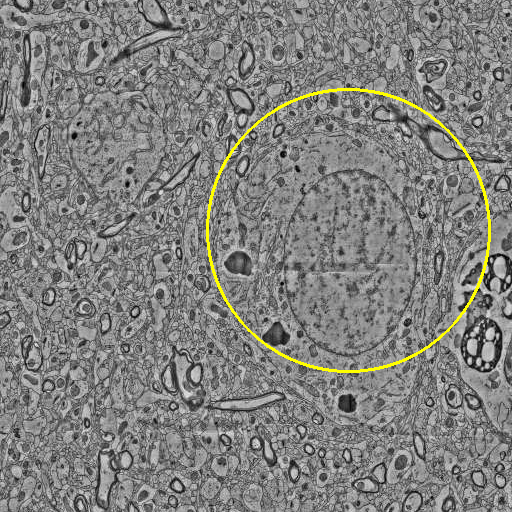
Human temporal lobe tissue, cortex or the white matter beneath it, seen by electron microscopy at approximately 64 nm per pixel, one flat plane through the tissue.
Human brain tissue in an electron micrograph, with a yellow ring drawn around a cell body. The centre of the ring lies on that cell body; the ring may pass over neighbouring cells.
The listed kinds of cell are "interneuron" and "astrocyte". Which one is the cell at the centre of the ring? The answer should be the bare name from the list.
interneuron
